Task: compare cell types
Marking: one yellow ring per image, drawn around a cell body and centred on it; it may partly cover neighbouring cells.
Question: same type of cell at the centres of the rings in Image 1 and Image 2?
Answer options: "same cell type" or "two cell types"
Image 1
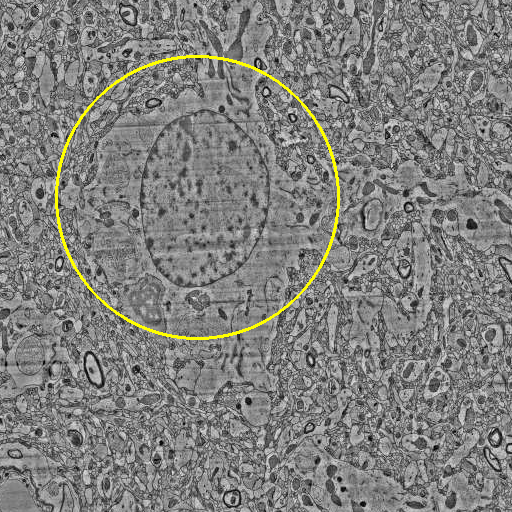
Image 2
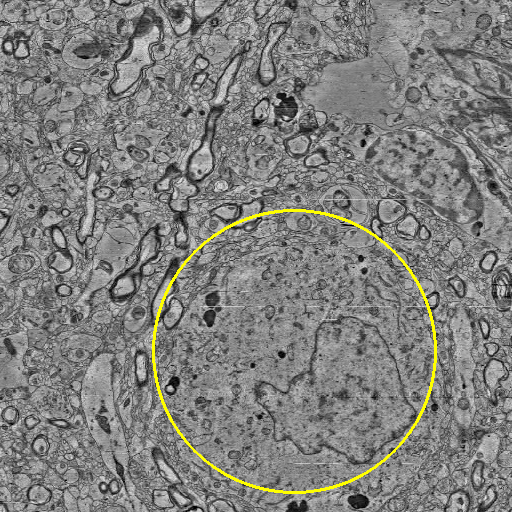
two cell types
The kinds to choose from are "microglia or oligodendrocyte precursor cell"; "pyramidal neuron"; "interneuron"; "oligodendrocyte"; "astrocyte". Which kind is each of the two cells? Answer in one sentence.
Of the two, the first cell is an astrocyte and the second cell is a pyramidal neuron.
